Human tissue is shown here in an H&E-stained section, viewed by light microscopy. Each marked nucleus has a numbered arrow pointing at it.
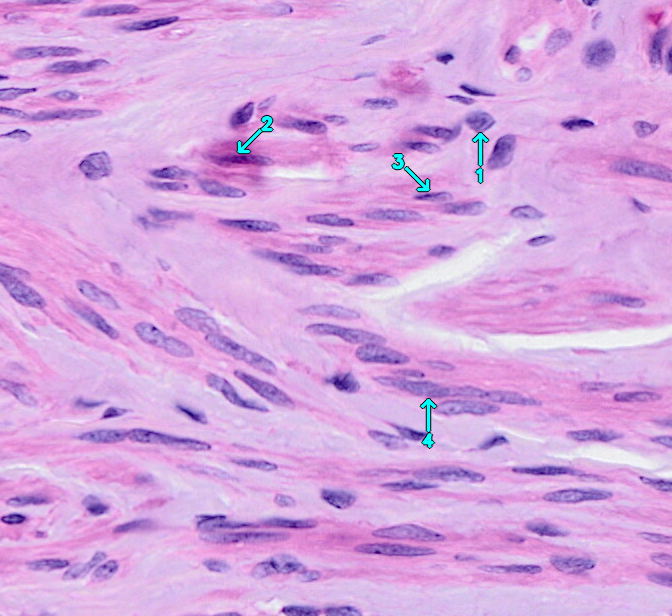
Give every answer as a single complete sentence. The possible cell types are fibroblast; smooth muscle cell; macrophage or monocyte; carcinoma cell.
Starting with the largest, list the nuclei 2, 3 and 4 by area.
Largest first, the order by area is 4, 2, 3.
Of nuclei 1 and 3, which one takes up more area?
The larger nucleus is 1, at roughly 2 times the area of 3.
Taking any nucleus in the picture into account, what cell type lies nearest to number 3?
The cell nearest to number 3 is a smooth muscle cell.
